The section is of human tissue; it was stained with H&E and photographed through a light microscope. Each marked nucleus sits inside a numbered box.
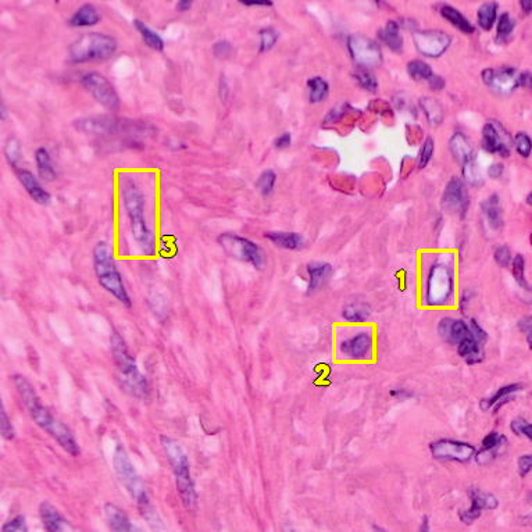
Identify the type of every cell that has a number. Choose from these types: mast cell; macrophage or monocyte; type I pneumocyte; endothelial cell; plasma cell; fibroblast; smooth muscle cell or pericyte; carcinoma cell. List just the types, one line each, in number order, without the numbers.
endothelial cell
mast cell
smooth muscle cell or pericyte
